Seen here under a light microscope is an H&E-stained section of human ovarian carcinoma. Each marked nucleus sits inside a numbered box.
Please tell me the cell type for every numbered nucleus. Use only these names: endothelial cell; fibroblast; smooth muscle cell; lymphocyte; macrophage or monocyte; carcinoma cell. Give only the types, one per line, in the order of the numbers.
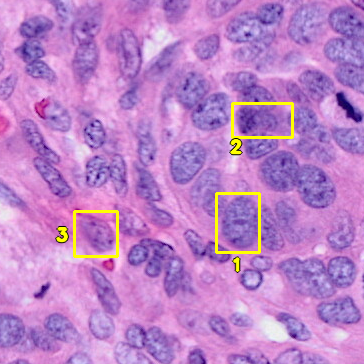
carcinoma cell
carcinoma cell
endothelial cell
